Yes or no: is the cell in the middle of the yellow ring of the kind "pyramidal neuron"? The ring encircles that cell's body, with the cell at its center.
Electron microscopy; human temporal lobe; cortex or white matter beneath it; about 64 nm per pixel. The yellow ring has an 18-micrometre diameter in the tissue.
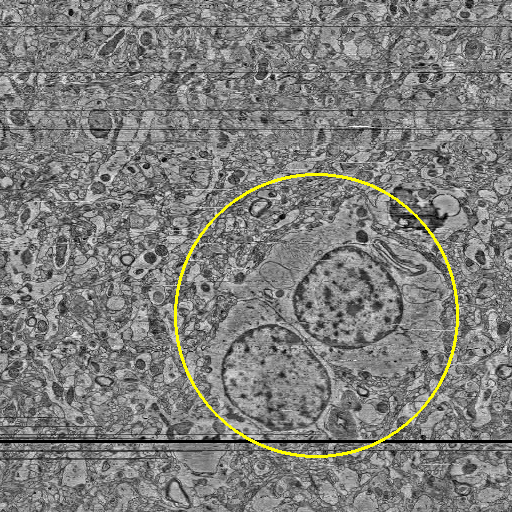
no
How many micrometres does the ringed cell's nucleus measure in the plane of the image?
In this plane the nucleus is about 7 micrometres across.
